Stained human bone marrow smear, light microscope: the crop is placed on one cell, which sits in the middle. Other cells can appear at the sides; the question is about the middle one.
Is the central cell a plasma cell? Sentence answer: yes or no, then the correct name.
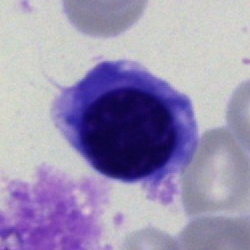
No, the label for the central cell is an erythroblast, not a plasma cell.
